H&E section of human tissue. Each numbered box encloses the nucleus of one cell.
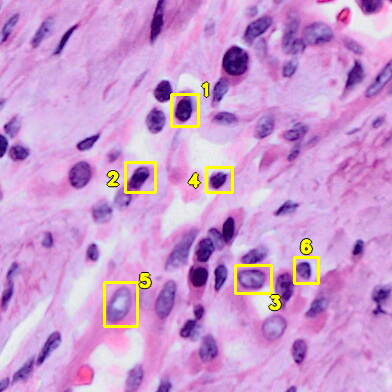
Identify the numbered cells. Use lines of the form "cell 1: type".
cell 1: lymphocyte
cell 2: lymphocyte
cell 3: endothelial cell
cell 4: lymphocyte
cell 5: endothelial cell
cell 6: lymphocyte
